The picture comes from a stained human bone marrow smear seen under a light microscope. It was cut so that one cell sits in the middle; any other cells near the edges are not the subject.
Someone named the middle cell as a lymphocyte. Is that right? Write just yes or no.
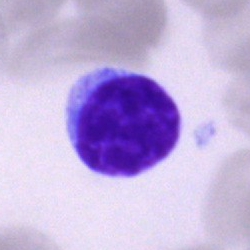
yes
